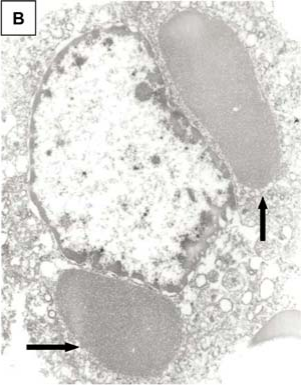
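This is a single macrophage seen under the electron microscope, with a large, pale nucleus taking up much of the cell. Its cytoplasm holds two large, smooth, finely granular, oval bodies that are grey and uniform, set apart from the rest of the cytoplasm. Around them the cytoplasm is full of small vacuoles and membranes.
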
